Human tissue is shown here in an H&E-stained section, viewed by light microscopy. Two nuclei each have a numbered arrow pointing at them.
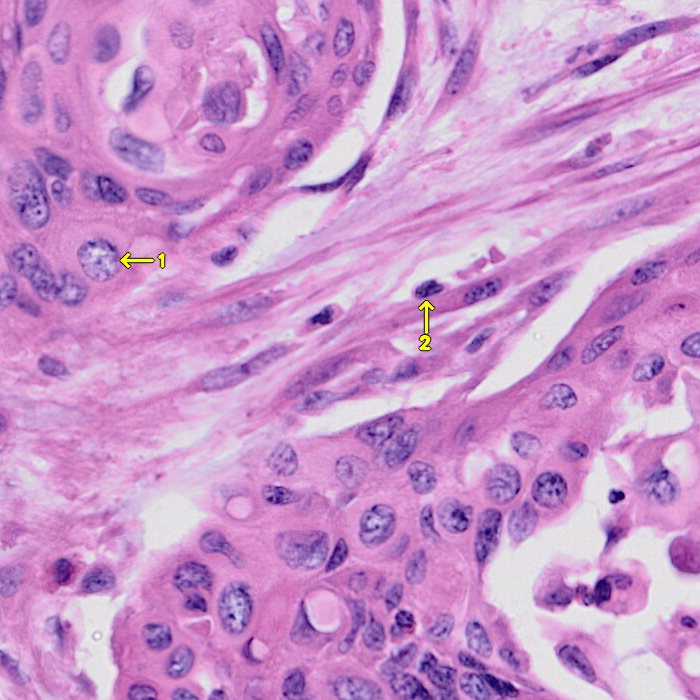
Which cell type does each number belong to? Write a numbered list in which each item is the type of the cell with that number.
1. squamous carcinoma cell
2. lymphocyte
